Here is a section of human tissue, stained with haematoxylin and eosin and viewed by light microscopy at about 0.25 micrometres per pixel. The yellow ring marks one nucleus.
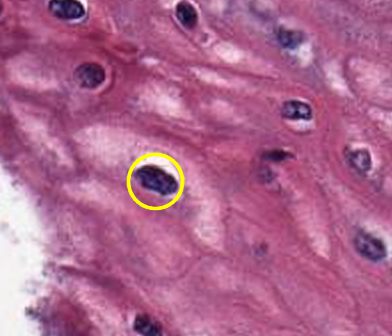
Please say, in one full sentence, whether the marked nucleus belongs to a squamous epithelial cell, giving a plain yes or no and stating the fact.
Yes, the nucleus shown with the mark belongs to a squamous epithelial cell.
